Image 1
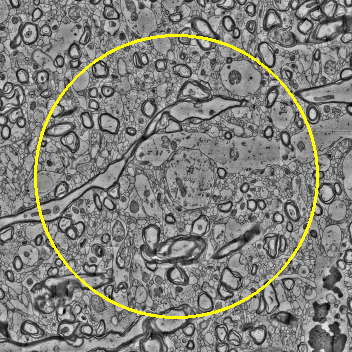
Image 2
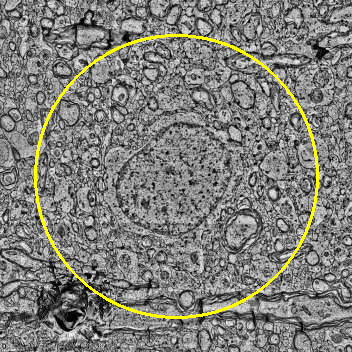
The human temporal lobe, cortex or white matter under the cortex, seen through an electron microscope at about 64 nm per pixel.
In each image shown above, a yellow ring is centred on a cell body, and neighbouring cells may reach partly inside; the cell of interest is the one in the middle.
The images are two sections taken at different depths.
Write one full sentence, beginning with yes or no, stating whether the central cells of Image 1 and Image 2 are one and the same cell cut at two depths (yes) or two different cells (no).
Yes, the same cell turns up inside each of the two rings.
